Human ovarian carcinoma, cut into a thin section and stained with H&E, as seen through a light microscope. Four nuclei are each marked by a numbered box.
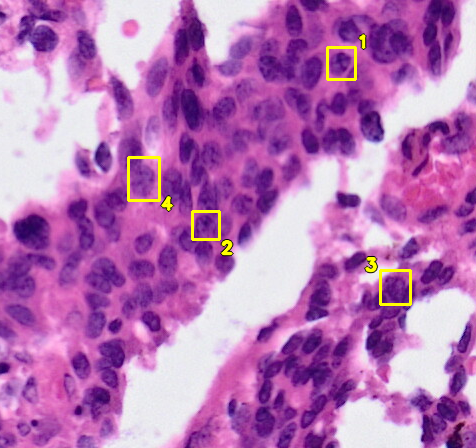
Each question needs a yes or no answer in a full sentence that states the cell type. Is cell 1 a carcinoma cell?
No, cell 1 represents a macrophage or monocyte rather than a carcinoma cell.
